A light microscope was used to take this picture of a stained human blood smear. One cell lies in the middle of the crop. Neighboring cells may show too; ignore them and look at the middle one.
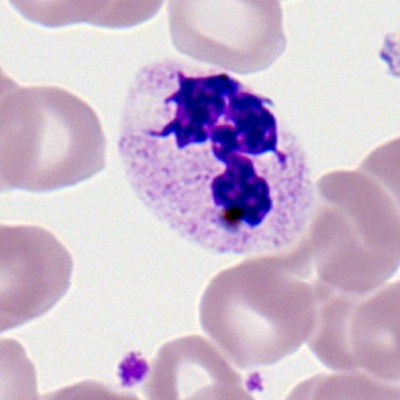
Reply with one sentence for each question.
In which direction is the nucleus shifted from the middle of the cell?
The nucleus sits off-centre, toward the upper right.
